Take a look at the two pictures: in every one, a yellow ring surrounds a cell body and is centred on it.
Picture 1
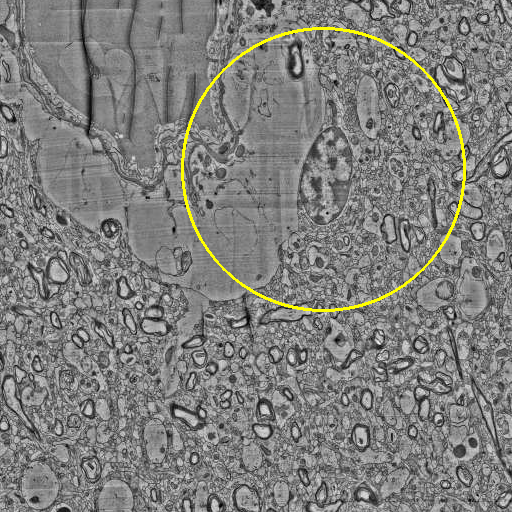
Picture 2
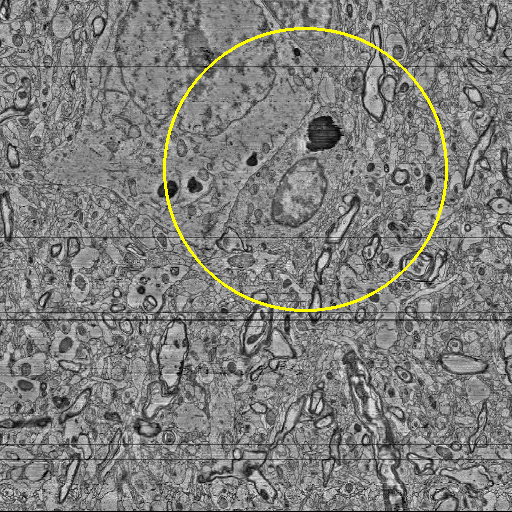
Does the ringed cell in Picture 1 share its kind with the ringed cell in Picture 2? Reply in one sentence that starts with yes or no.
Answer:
No, the two centred cells, one per picture, are of two kinds.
